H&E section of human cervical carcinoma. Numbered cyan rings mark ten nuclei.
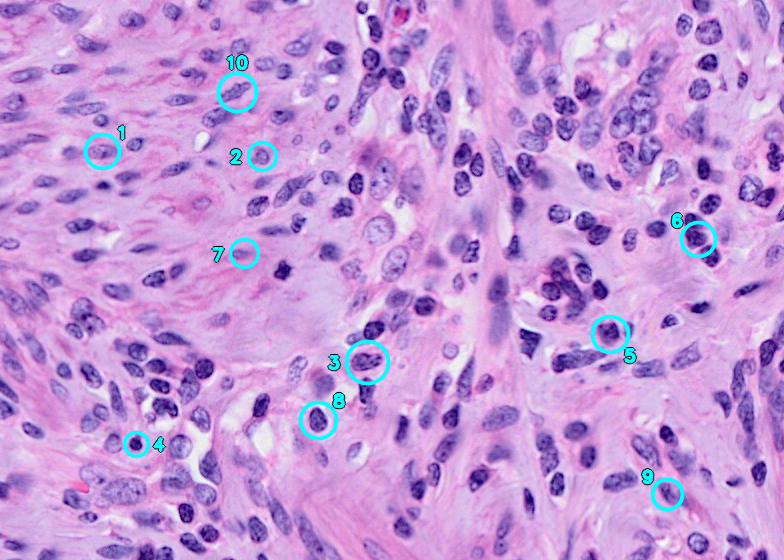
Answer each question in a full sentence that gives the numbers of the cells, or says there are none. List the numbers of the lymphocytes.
The numbers 3, 4, 5, 6 and 8 in this section indicate lymphocytes.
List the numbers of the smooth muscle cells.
The cells whose numbers are 1, 2, 7 and 10 are smooth muscle cells.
